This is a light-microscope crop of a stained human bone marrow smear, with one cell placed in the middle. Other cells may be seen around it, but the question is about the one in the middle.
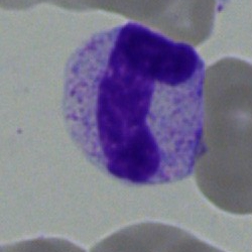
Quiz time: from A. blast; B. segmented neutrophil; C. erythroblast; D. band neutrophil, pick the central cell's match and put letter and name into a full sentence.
The cell at the heart of the crop is a band neutrophil, so choose option D.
